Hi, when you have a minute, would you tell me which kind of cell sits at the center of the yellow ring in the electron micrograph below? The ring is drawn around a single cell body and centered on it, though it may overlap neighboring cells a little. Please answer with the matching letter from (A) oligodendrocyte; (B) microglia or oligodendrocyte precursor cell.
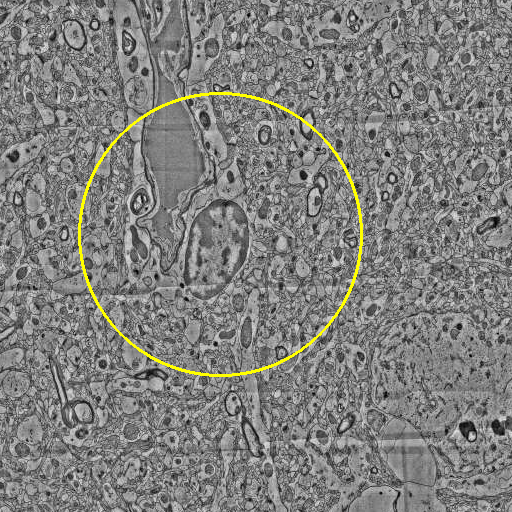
B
